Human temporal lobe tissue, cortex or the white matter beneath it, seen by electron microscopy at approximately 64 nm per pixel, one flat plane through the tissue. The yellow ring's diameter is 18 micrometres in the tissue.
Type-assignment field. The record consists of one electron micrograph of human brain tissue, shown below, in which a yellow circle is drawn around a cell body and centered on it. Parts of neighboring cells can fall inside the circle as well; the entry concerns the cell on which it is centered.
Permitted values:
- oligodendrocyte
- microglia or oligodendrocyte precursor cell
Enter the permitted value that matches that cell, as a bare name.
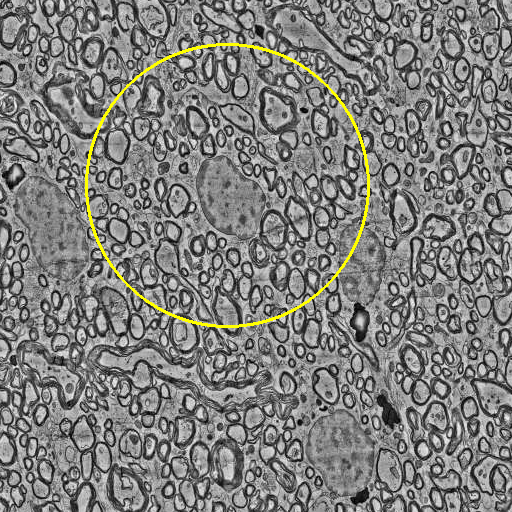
microglia or oligodendrocyte precursor cell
